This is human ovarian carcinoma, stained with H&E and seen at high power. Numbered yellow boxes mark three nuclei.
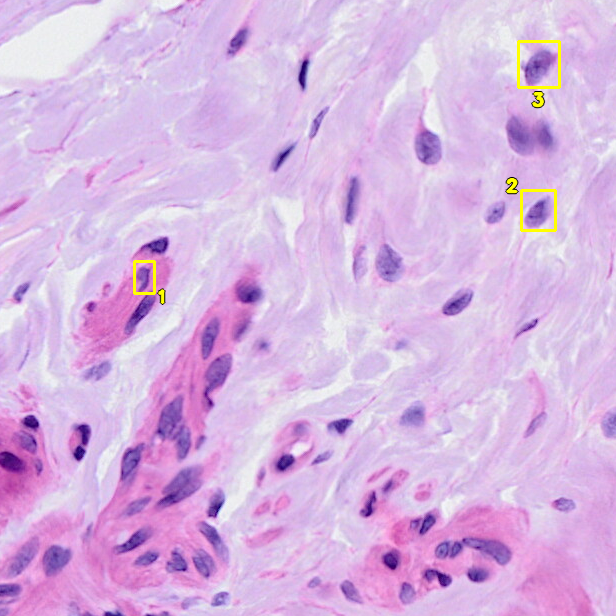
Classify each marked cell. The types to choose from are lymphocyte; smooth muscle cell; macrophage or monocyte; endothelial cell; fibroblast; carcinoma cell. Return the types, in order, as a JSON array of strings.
["smooth muscle cell", "fibroblast", "fibroblast"]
